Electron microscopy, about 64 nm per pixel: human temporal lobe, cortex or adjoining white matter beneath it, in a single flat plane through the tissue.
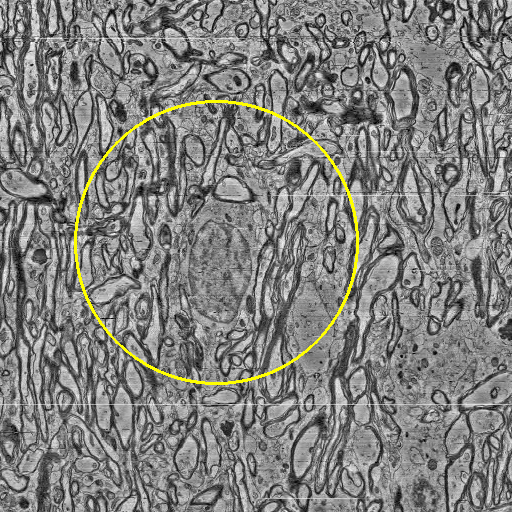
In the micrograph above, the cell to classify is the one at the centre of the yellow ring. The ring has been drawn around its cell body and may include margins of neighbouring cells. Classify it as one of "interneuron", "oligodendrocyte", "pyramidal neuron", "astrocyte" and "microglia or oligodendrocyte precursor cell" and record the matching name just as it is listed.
oligodendrocyte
